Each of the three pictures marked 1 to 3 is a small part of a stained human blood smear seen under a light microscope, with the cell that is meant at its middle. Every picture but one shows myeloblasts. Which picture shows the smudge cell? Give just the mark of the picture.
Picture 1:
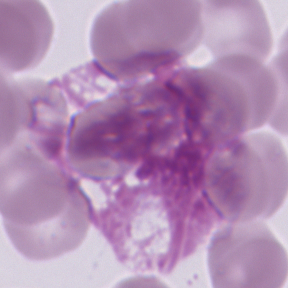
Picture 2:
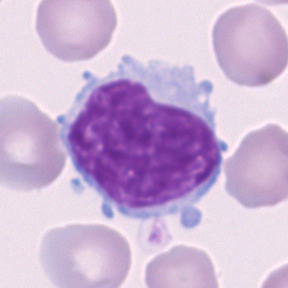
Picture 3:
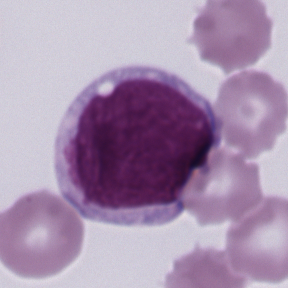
1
